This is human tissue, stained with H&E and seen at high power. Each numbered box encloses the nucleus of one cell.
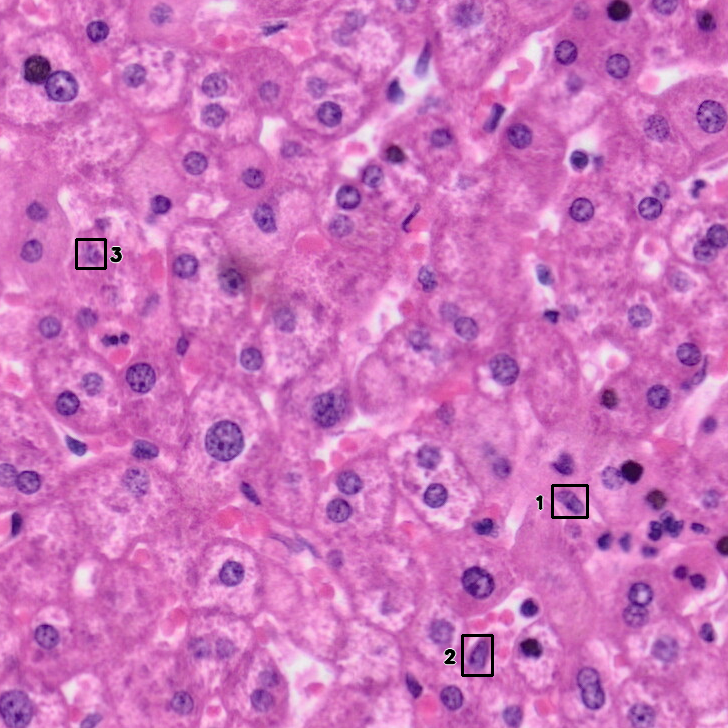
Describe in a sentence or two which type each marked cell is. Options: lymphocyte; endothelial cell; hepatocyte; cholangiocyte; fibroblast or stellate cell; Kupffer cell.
Cells 1 and 2 are Kupffer cells. Cell 3 is a hepatocyte.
